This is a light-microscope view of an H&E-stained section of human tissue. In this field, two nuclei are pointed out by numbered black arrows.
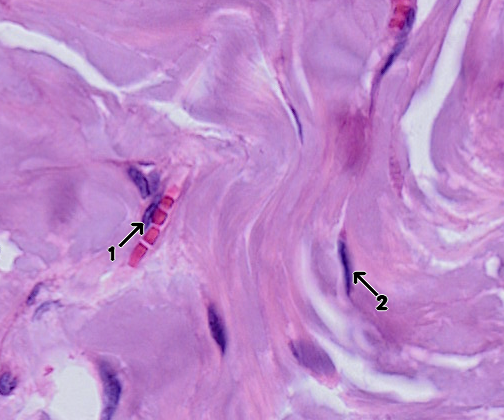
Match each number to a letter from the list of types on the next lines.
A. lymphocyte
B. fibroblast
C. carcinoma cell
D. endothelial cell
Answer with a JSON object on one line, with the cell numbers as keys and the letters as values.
{"1": "D", "2": "B"}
